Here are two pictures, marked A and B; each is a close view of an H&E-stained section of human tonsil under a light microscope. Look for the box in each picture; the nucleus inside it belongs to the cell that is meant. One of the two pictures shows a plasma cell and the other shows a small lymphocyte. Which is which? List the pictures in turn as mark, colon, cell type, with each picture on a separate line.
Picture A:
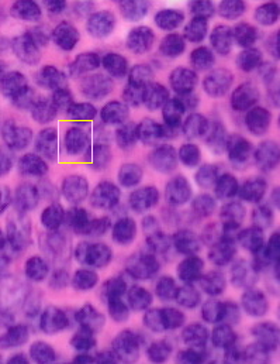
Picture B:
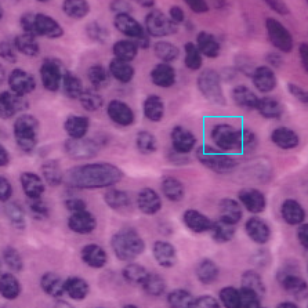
A: small lymphocyte
B: plasma cell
